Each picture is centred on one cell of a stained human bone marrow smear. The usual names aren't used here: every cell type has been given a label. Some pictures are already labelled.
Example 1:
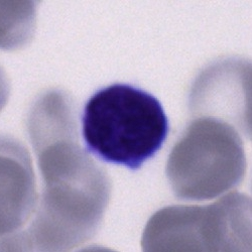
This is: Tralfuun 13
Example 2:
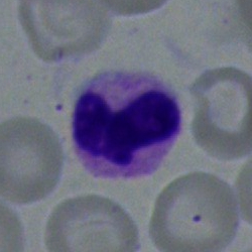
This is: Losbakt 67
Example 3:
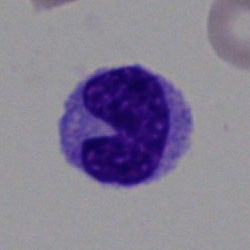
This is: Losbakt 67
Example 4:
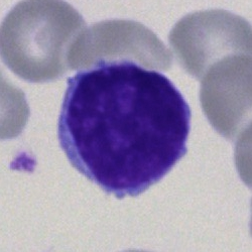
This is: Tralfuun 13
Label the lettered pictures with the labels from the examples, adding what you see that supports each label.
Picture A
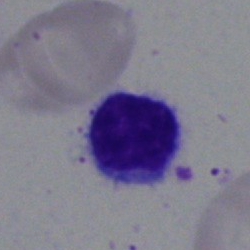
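Label: Tralfuun 13. The nucleus fills almost the whole cell.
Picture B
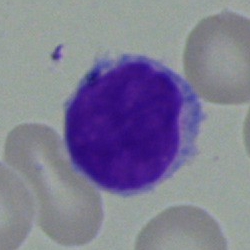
Label: Tralfuun 13. The cytoplasm forms a thin rim that is widest on the right side.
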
